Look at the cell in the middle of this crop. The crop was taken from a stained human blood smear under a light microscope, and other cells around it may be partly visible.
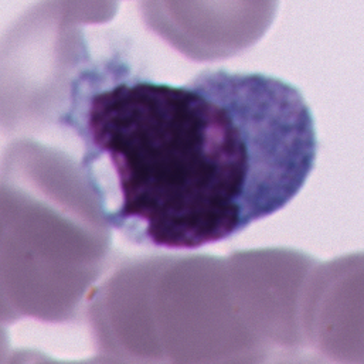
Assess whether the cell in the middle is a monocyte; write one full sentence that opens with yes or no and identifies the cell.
Yes, the cell of interest in the centre is a monocyte.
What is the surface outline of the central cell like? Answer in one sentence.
The perimeter of the cell is irregular, with ragged sections or outward projections.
